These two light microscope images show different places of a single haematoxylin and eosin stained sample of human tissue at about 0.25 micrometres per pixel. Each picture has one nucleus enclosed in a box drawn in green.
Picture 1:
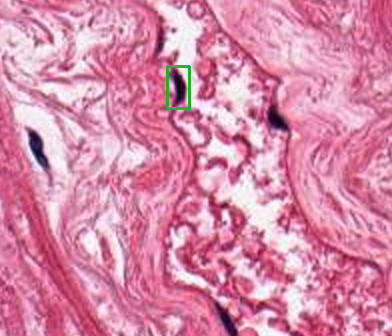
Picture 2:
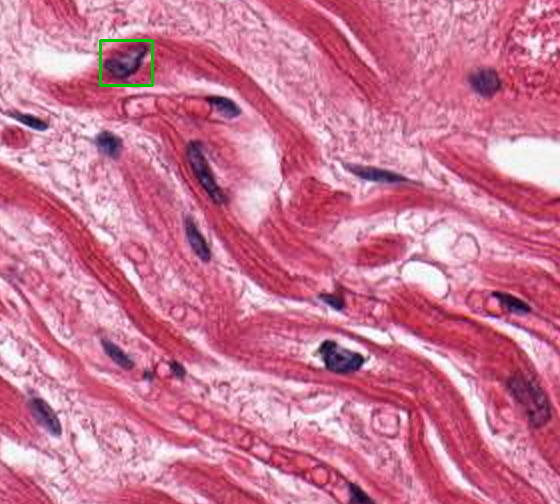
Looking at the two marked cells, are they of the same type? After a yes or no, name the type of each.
No, the first is an endothelial cell and the second a cardiomyocyte.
